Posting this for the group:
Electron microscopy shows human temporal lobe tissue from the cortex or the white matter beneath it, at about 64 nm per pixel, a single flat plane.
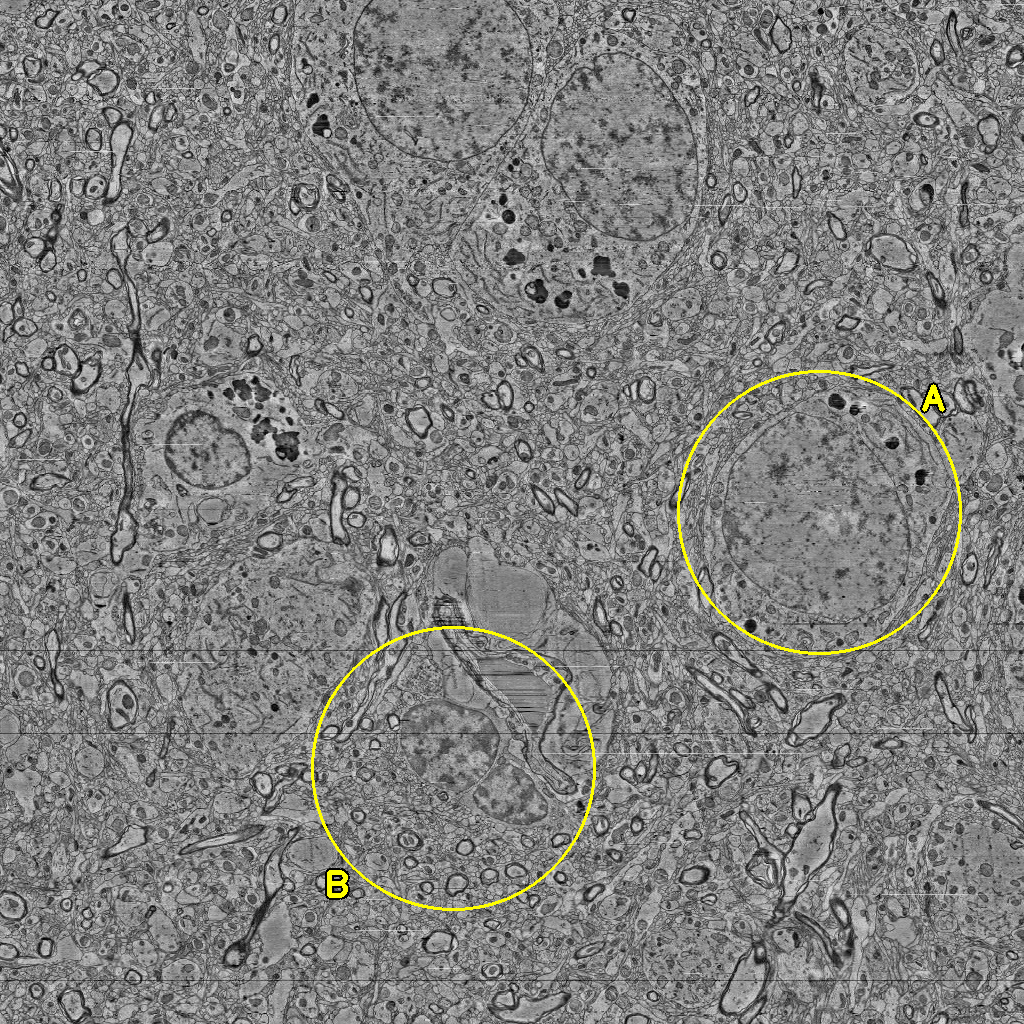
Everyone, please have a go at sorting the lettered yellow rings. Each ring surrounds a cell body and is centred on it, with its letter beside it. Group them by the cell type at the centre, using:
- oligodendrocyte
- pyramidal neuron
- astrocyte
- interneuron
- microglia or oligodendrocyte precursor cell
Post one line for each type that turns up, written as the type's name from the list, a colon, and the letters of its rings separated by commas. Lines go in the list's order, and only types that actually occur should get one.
oligodendrocyte: B
pyramidal neuron: A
